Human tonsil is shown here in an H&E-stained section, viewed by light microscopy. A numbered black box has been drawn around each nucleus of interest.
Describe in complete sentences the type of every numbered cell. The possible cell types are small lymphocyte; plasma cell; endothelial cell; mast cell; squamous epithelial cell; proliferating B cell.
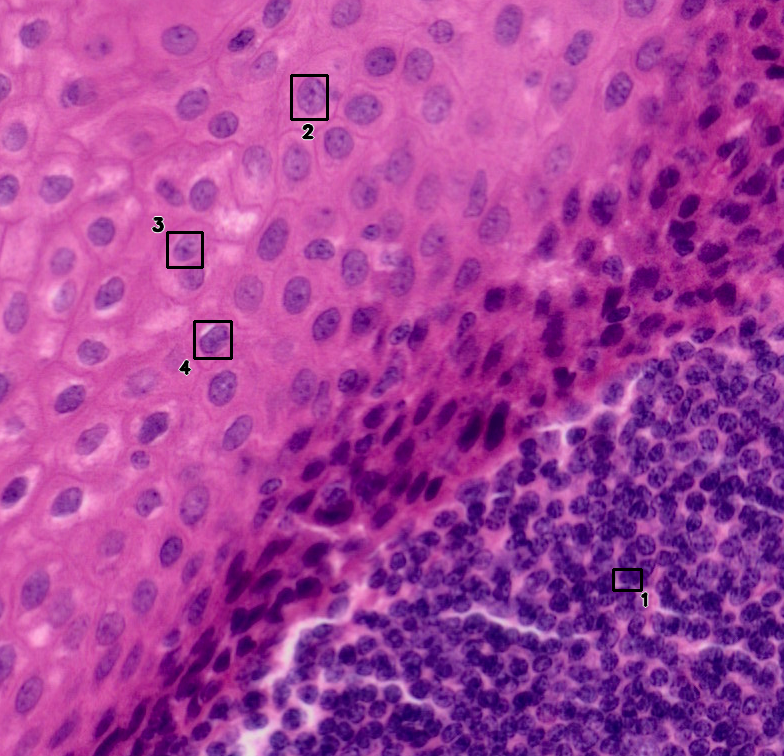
Cell 1 is a small lymphocyte. Cells 2, 3 and 4 are squamous epithelial cells.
